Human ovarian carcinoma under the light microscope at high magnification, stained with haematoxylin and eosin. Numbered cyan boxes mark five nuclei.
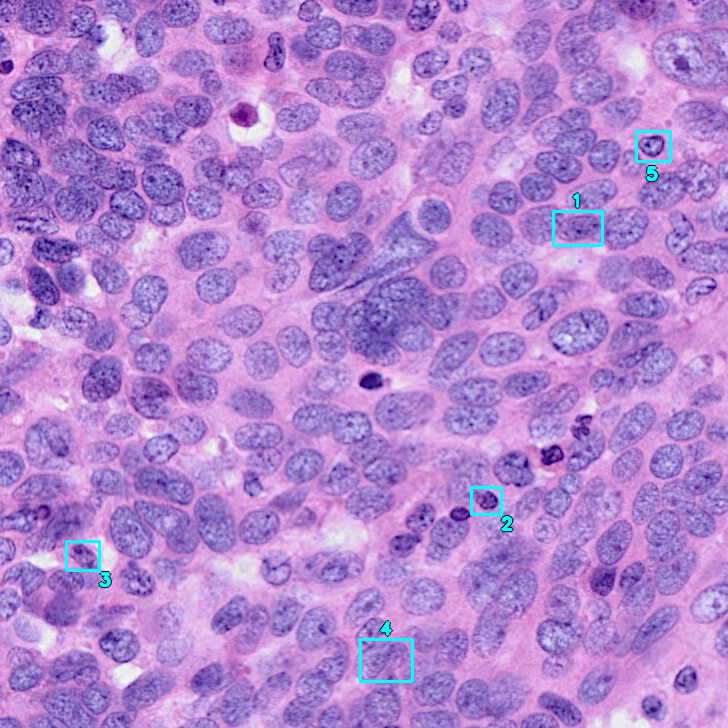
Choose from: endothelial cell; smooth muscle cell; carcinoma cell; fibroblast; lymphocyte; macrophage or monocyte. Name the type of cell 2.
lymphocyte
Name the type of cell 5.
macrophage or monocyte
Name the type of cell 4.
carcinoma cell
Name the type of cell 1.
carcinoma cell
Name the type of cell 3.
macrophage or monocyte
